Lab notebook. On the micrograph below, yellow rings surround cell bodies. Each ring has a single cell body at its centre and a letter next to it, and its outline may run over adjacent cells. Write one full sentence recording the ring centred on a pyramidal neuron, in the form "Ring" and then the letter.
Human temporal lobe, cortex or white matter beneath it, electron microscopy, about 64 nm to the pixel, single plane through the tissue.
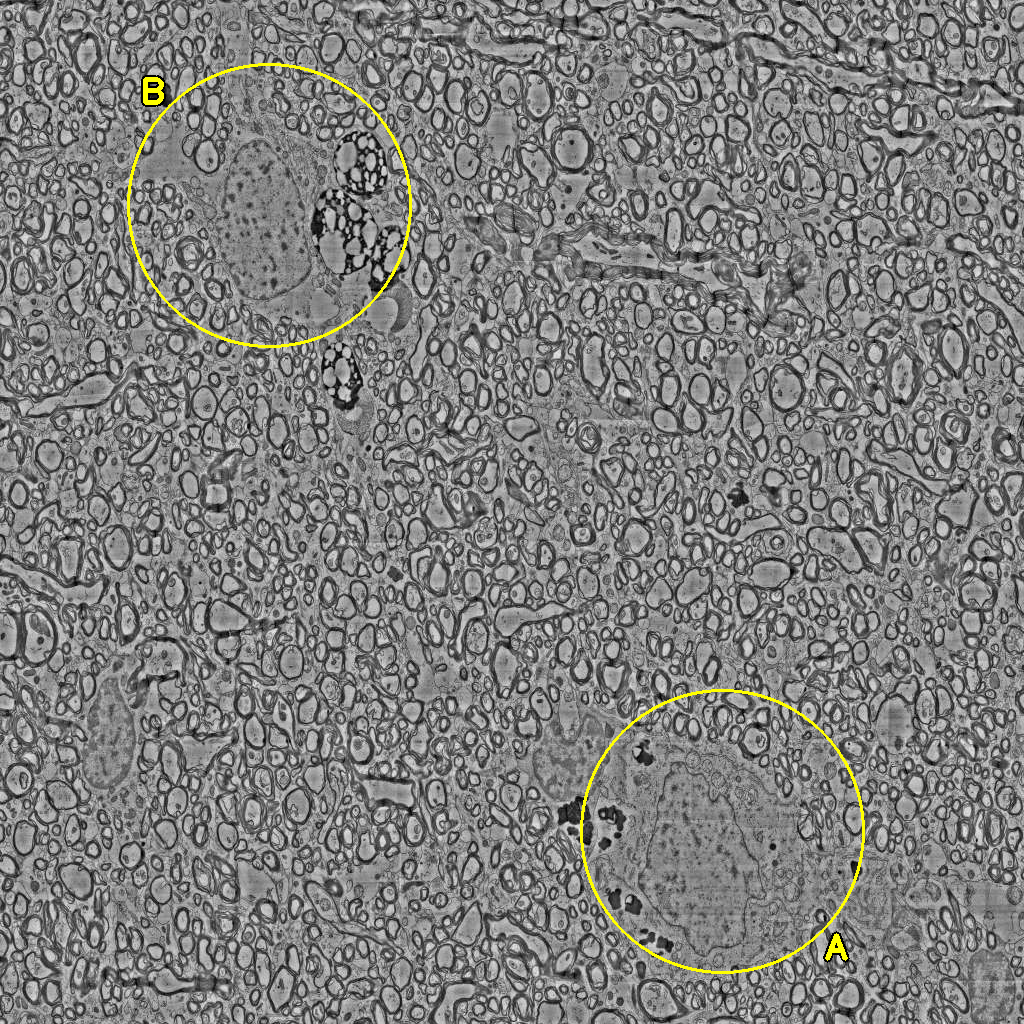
My answer is Ring A, the ring centred on a cell of that kind.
